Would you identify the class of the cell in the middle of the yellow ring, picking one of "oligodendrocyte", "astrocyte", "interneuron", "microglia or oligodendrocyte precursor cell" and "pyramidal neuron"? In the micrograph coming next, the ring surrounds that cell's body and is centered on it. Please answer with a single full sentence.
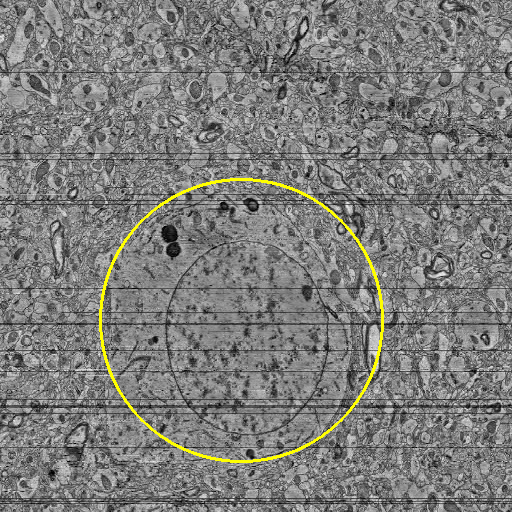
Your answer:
In the micrograph, it is a pyramidal neuron whose body lies at the ring's center.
